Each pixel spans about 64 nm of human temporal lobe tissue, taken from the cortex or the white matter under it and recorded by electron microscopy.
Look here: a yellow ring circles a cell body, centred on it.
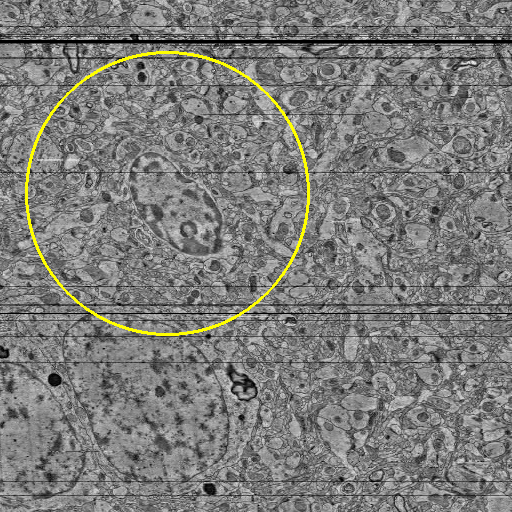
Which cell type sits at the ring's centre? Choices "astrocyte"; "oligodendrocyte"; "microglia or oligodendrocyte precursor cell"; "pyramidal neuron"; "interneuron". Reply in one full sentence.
The cell at the centre of the yellow ring in the picture is a microglial cell or oligodendrocyte precursor cell.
